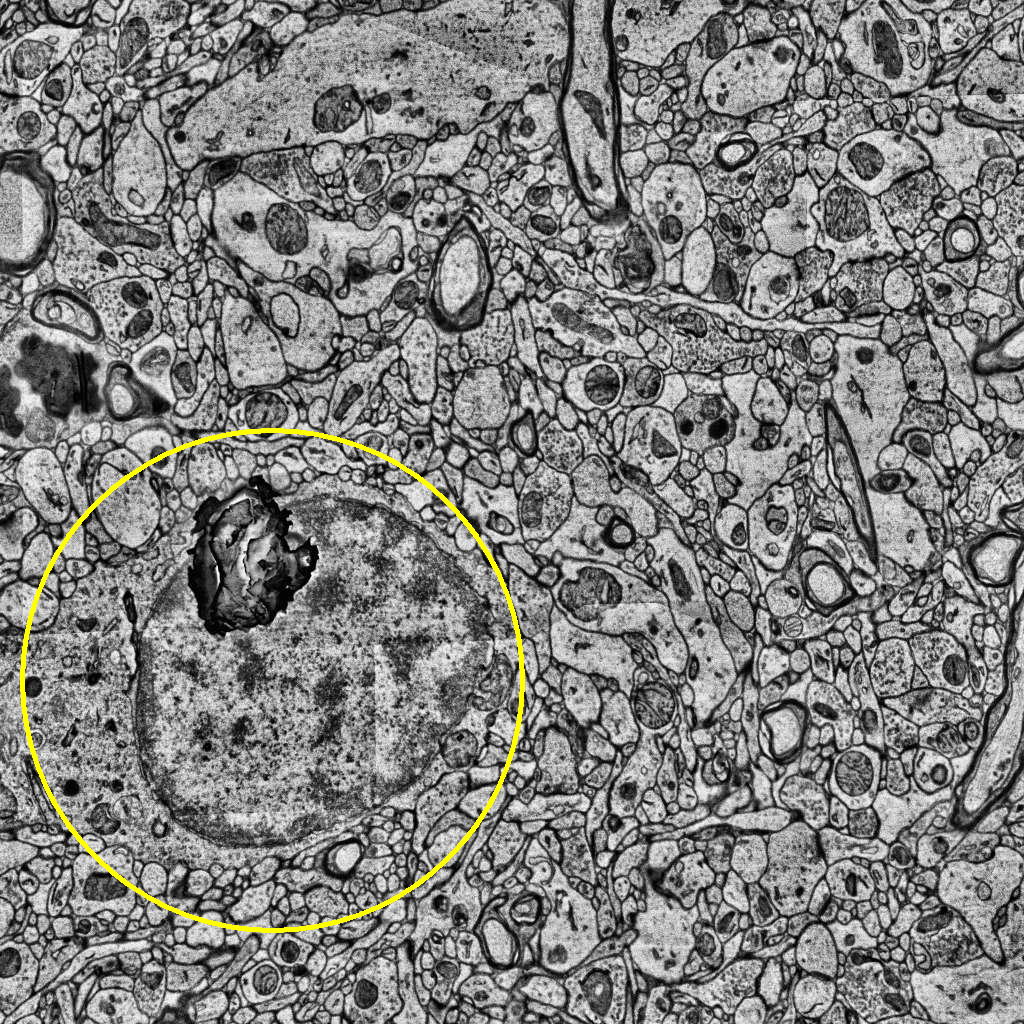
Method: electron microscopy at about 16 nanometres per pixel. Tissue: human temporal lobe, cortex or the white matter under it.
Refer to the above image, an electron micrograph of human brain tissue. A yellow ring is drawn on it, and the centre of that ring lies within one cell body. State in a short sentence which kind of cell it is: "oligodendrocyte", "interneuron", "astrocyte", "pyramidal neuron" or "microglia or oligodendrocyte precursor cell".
The centre of the ring falls on an oligodendrocyte.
